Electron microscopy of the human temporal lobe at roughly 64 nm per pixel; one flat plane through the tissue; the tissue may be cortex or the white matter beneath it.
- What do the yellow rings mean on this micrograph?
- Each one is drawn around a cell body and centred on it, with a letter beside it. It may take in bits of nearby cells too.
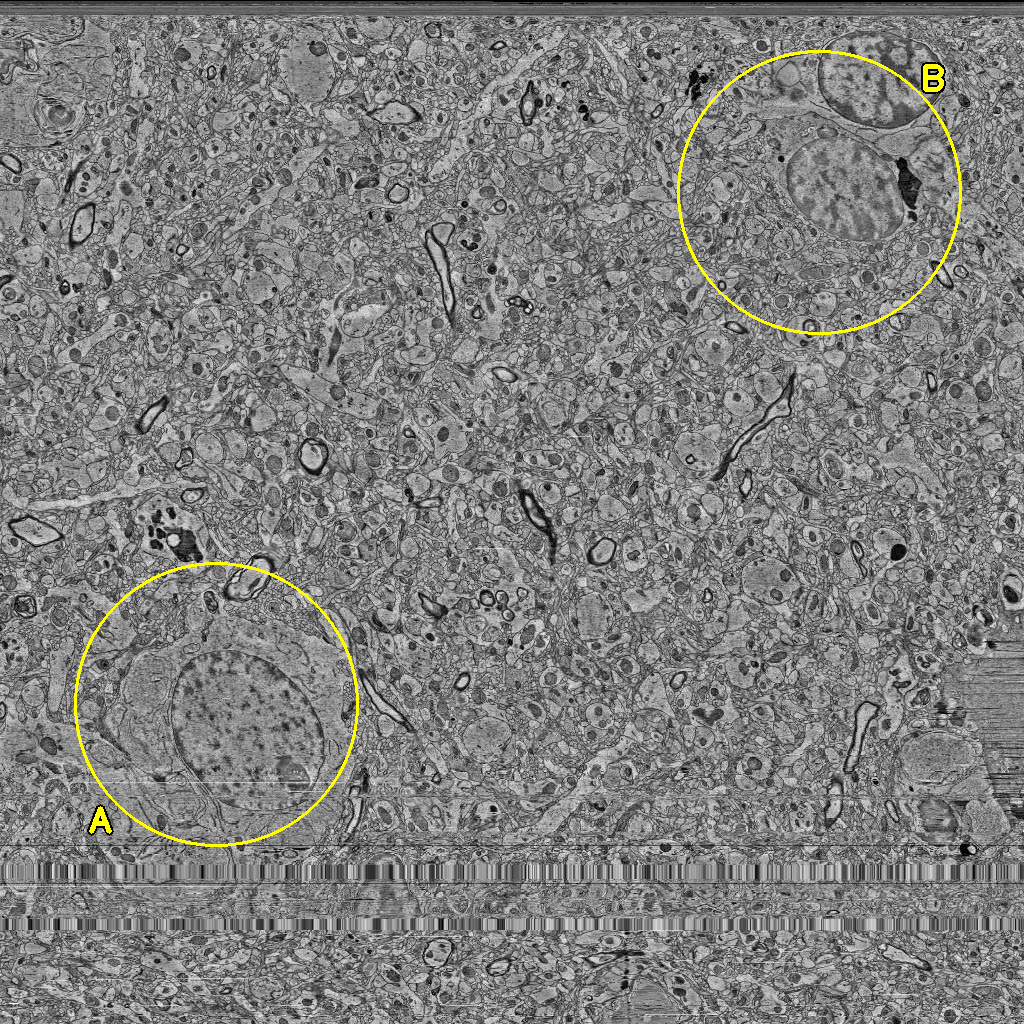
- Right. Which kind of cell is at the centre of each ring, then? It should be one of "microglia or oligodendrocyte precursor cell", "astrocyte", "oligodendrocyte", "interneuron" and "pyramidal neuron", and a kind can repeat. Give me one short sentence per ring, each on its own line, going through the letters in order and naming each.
Ring A circles the cell body of an astrocyte.
Ring B circles the cell body of an oligodendrocyte.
